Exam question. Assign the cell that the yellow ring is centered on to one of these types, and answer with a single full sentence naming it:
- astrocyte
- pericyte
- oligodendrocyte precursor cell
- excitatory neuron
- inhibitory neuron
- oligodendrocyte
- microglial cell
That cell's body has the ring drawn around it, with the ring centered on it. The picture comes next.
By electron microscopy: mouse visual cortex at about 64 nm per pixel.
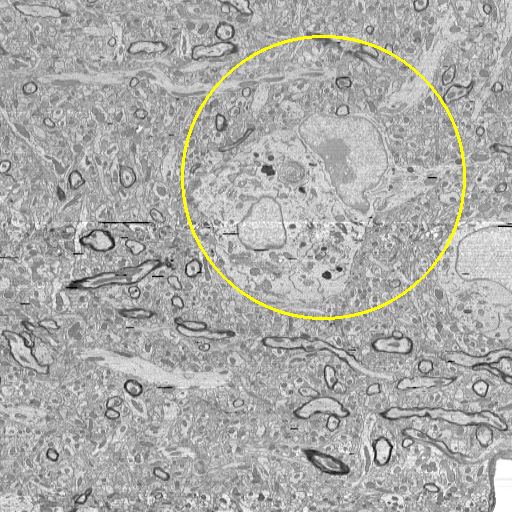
In the micrograph, the cell the yellow ring is centered on is an oligodendrocyte precursor cell.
